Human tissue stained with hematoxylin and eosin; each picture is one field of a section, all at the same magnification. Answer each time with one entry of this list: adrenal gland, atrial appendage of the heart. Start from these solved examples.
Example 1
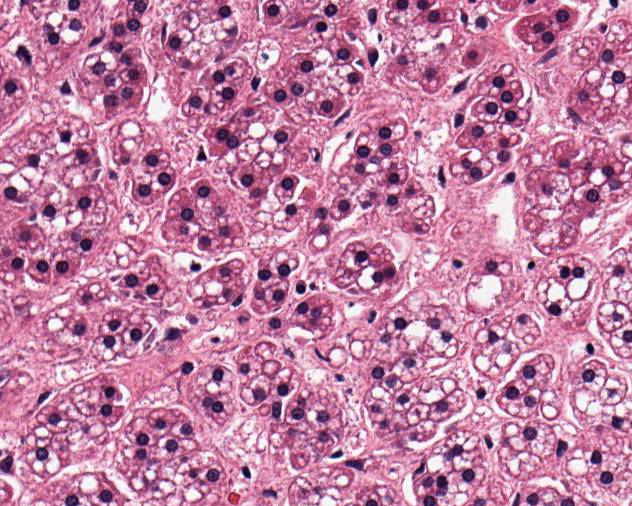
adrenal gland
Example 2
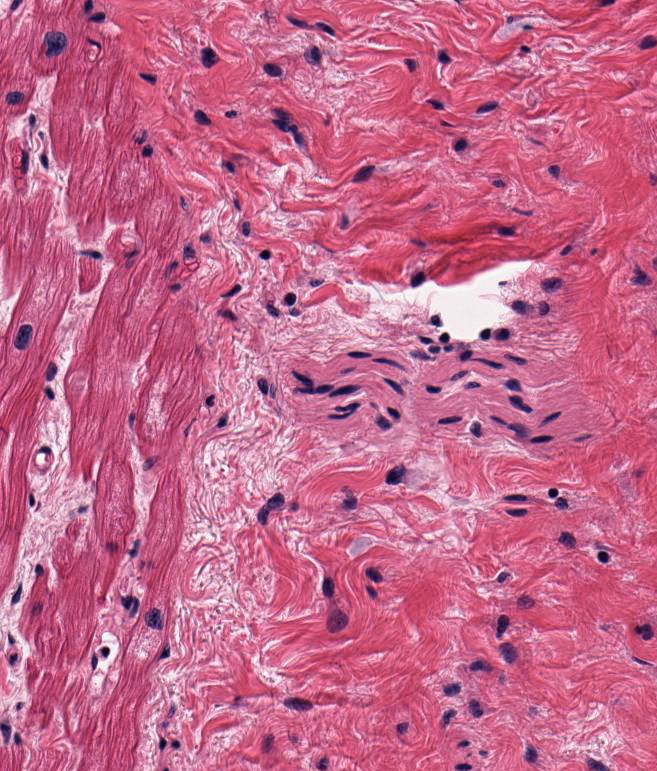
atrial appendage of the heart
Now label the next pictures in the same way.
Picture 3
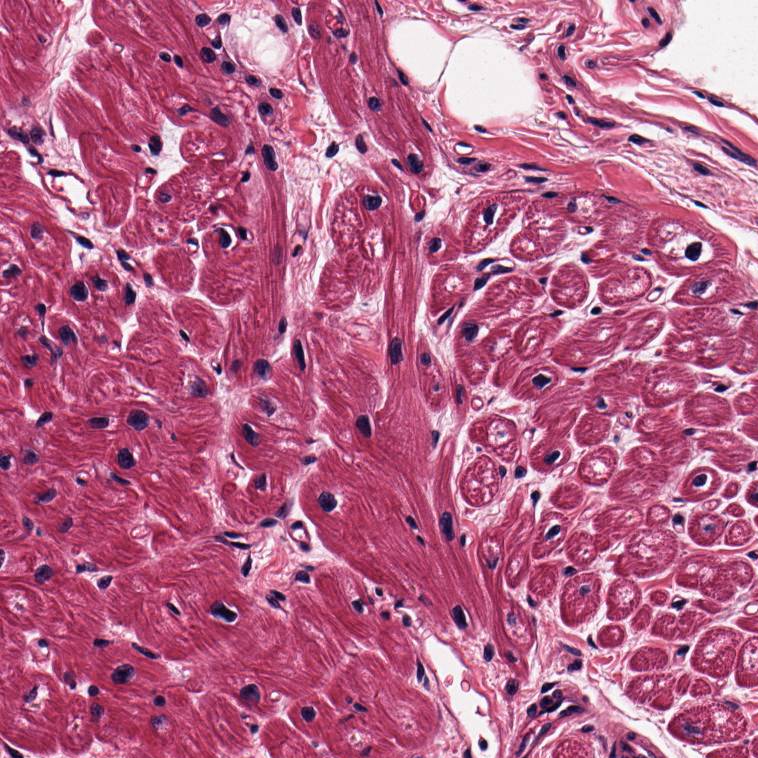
atrial appendage of the heart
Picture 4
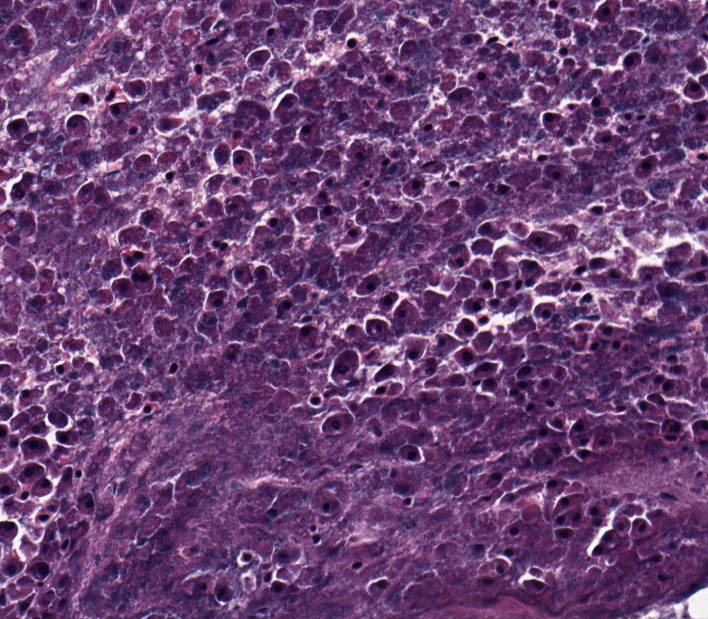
adrenal gland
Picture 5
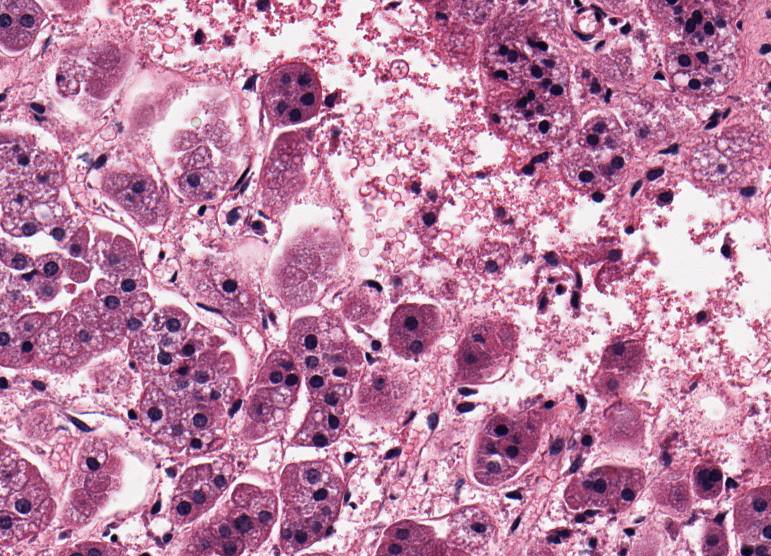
adrenal gland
